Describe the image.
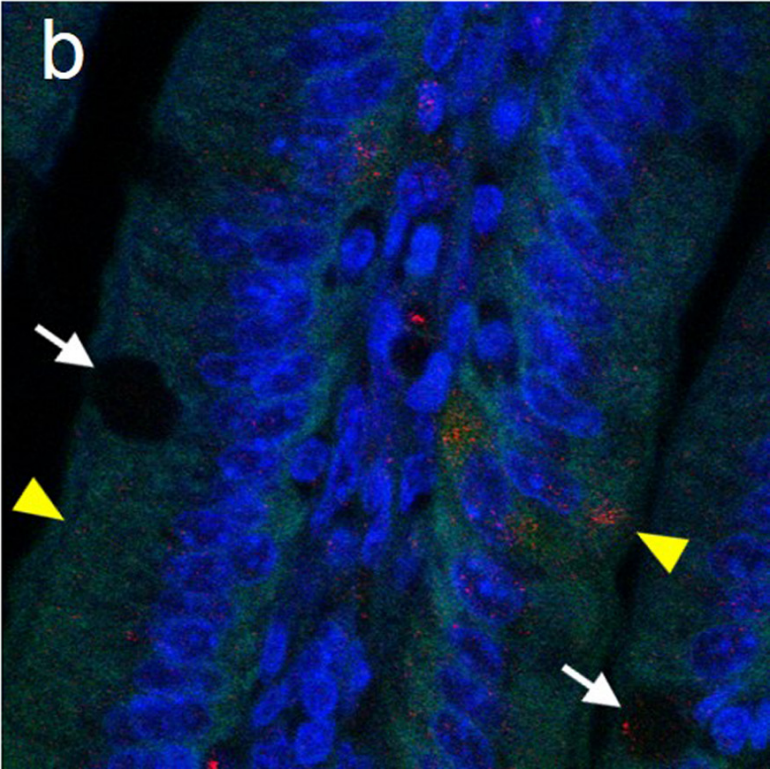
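At high magnification, a villus is lined by tall columnar epithelial cells with elongated blue nuclei stacked in a palisade and pale greenish cytoplasm extending to the lumen, with fine red dots scattered in the cytoplasm. Round dark, unstained vacuoles sit within the epithelium at the surface. The columnar cells are enterocytes.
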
